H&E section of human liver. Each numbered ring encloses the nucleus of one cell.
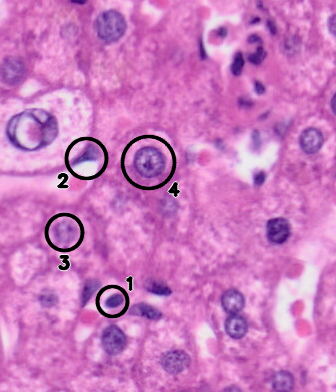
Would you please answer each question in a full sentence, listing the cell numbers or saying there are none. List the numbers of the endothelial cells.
Of the numbered cells, only cell 2 is an endothelial cell.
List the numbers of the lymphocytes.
The numbered cell that is a lymphocyte is cell 1, and it is the only one.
